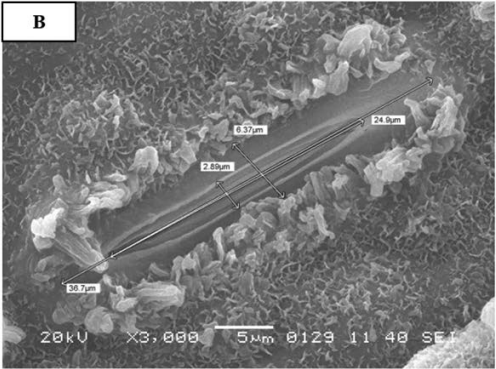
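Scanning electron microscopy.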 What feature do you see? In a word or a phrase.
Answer: Stomata.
